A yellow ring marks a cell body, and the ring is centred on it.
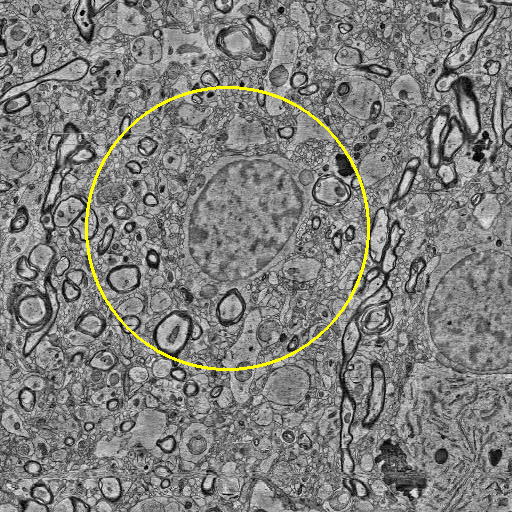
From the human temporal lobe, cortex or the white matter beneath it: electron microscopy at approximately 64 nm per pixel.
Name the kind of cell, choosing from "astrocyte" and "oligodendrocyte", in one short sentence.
The marked cell body belongs to an oligodendrocyte.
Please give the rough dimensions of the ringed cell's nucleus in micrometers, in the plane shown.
The nucleus has a long axis of about 9 micrometres and a short axis of about 6 micrometres in this plane.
